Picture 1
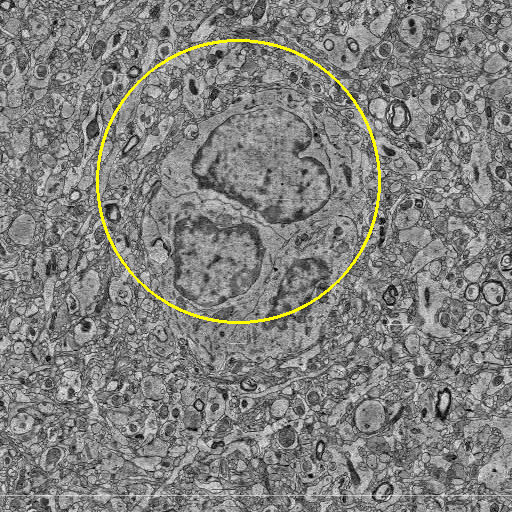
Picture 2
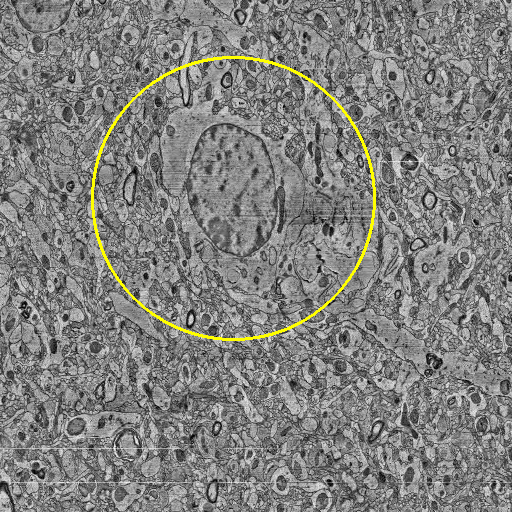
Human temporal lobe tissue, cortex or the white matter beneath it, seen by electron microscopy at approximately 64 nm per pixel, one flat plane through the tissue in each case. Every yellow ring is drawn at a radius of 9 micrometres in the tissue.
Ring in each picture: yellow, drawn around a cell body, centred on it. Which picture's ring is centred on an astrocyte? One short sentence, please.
Picture 2 is the one.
